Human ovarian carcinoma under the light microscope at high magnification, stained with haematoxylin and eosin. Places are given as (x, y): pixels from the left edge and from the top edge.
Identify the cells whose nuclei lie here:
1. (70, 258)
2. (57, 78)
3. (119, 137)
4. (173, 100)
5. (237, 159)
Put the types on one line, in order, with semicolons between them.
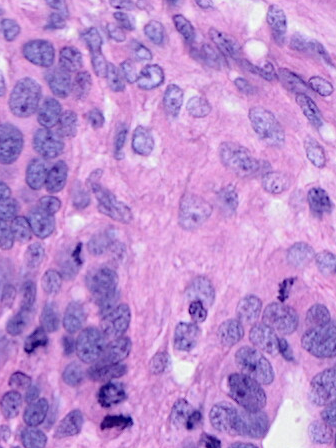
carcinoma cell; carcinoma cell; fibroblast; fibroblast; fibroblast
